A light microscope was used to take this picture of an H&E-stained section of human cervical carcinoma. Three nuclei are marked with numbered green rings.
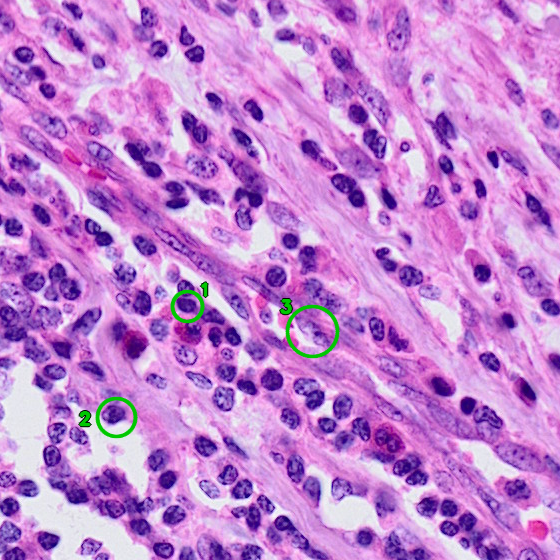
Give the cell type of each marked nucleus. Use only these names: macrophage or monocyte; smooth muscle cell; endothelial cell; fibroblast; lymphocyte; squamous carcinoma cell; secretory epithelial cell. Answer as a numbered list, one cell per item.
1. lymphocyte
2. lymphocyte
3. endothelial cell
